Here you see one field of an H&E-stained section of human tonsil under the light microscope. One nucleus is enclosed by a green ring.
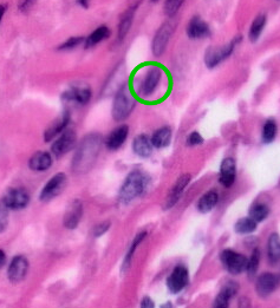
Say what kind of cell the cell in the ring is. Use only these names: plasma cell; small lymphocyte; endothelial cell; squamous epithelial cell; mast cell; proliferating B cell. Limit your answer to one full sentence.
Typologically, the cell in the ring is an endothelial cell in this section.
